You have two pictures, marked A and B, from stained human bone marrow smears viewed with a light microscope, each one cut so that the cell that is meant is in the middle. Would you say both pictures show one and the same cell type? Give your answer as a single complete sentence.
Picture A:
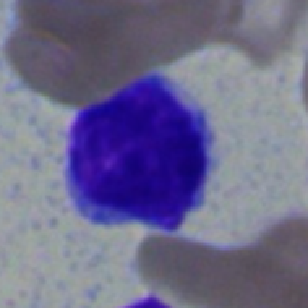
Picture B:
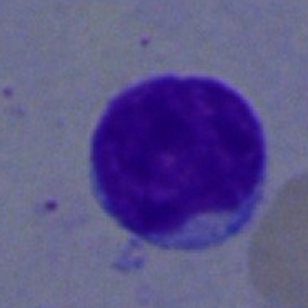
Yes, both cells are lymphocytes.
